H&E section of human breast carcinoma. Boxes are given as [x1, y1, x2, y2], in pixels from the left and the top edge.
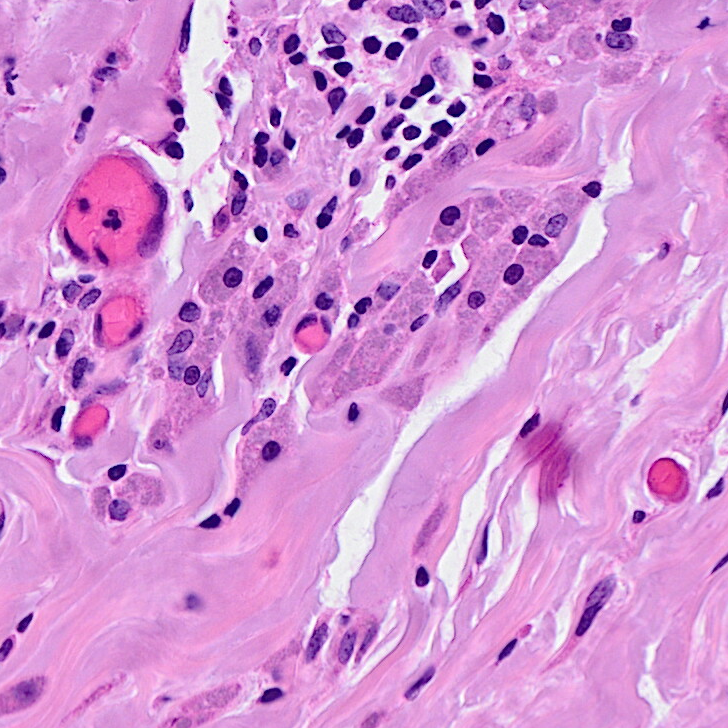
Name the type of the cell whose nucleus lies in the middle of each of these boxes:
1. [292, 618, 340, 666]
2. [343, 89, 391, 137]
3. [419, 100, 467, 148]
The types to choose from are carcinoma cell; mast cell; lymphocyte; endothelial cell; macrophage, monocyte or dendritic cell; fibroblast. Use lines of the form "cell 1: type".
cell 1: fibroblast
cell 2: lymphocyte
cell 3: lymphocyte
